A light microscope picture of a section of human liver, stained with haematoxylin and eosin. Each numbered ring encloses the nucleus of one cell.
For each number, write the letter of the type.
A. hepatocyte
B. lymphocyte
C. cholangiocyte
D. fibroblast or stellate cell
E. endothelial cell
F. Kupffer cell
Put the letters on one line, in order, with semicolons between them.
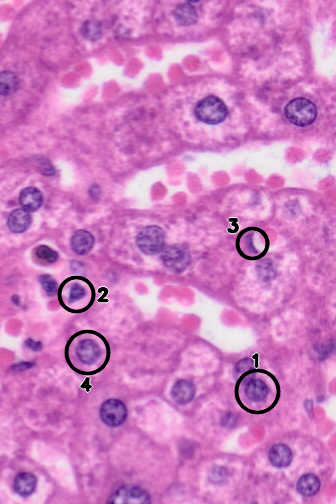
A; B; E; A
